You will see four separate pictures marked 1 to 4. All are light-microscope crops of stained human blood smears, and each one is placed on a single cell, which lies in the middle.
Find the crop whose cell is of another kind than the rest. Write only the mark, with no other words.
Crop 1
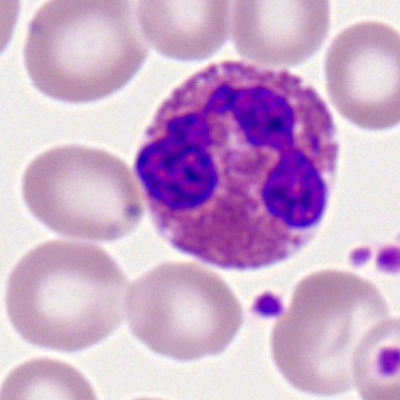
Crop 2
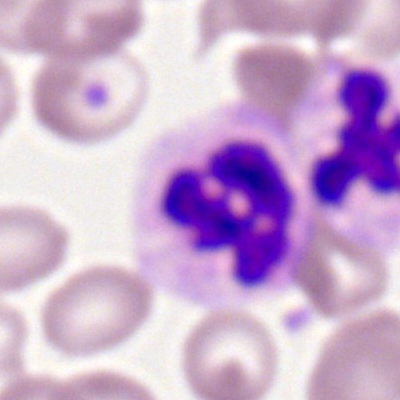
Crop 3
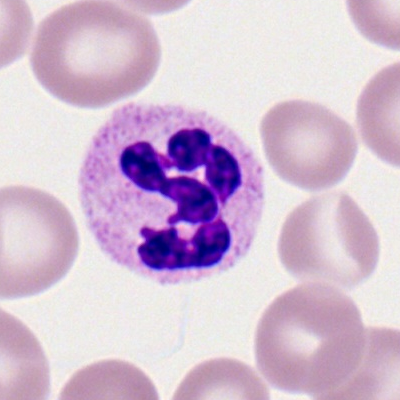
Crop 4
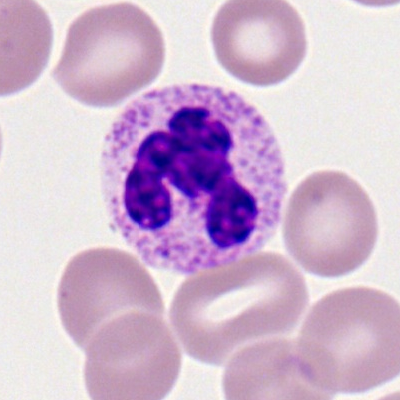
1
